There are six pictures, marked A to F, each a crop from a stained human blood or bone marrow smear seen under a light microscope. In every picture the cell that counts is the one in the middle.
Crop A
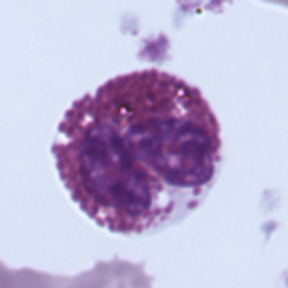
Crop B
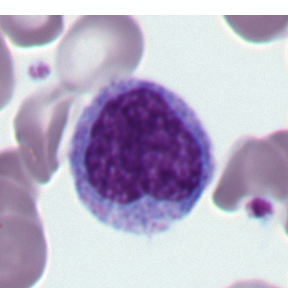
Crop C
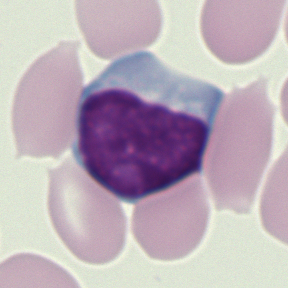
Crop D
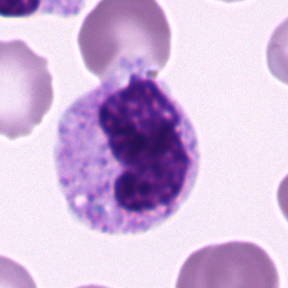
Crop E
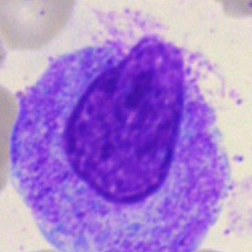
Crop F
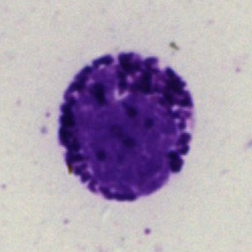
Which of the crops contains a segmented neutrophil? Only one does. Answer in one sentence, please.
In this series, a segmented neutrophil is shown by crop D.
